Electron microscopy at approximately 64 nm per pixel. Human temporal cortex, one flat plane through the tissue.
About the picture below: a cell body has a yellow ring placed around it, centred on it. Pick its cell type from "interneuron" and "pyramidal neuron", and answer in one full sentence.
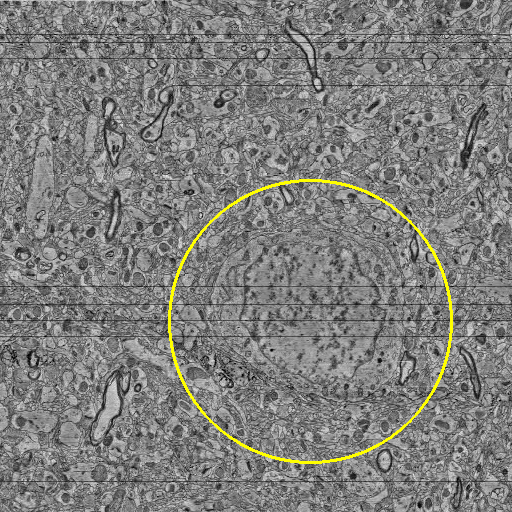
In the picture, an interneuron is the cell sitting at the centre of the yellow ring.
